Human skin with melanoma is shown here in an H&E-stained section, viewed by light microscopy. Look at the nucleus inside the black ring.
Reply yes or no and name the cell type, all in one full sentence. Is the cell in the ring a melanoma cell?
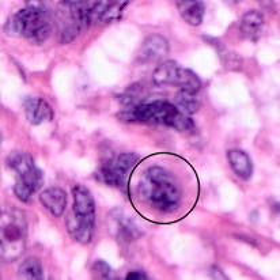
Yes, it is as a melanoma cell that the cell in the ring is classified.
